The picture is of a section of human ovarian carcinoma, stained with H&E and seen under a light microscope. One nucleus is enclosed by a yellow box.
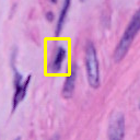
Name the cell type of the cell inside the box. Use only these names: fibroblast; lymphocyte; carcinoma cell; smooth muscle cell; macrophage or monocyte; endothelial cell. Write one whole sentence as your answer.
Within the stained tissue, the cell inside the box is a smooth muscle cell.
